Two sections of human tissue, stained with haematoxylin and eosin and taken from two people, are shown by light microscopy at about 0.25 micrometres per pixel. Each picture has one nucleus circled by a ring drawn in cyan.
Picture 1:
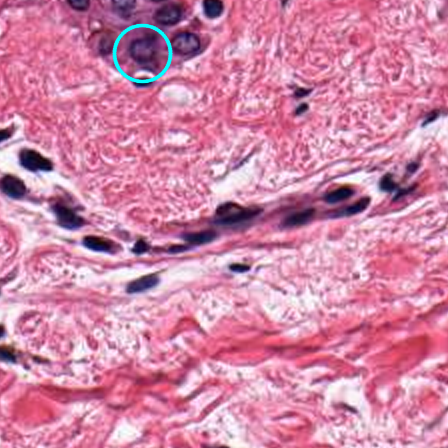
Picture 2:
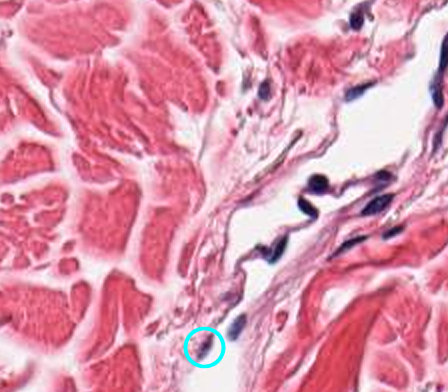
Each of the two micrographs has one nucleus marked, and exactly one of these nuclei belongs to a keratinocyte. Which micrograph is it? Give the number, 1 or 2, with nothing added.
1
